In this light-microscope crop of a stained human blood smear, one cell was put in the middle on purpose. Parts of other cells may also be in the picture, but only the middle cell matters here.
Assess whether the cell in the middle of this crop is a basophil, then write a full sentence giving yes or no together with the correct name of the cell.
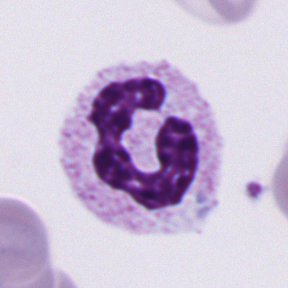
No, the centrally placed cell is a neutrophil, not a basophil.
